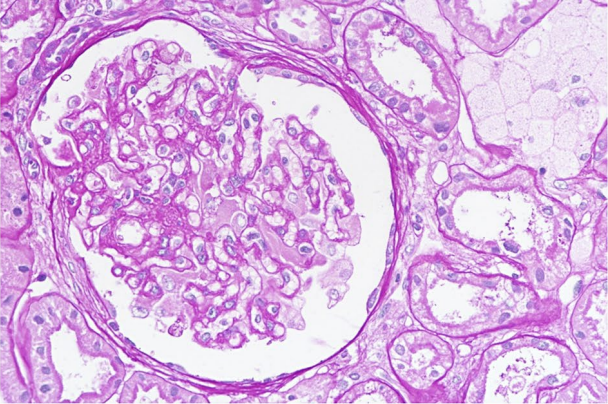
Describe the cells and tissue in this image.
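This is a kidney glomerulus in cross-section, with its tuft of capillary loops lying in a clear space enclosed by a pink capsule. Around the glomerulus lie tubules lined by cuboidal epithelial cells with pink cytoplasm and round nuclei. At the upper right, a group of pale cells with vacuolated cytoplasm lies between the tubules.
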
